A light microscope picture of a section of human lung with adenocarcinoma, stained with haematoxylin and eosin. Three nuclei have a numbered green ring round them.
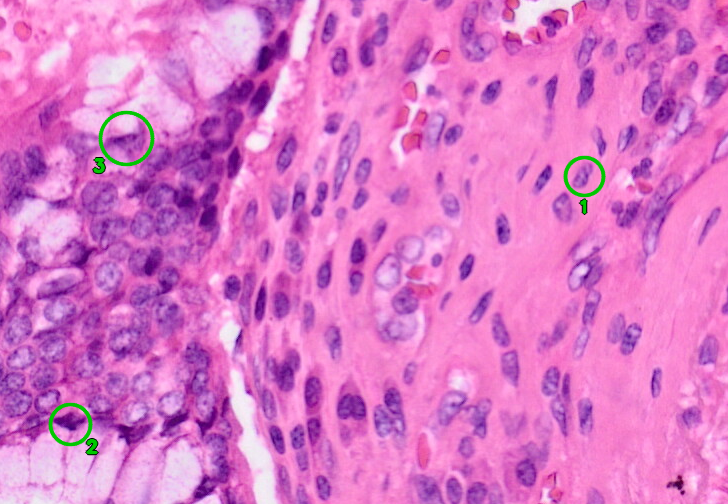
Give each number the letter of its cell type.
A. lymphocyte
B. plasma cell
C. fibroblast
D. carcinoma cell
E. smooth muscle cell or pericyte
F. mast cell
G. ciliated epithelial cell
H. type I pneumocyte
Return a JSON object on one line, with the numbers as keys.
{"1": "F", "2": "G", "3": "G"}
